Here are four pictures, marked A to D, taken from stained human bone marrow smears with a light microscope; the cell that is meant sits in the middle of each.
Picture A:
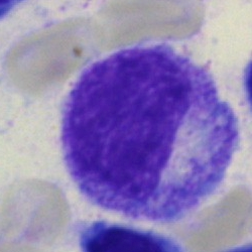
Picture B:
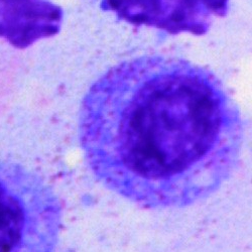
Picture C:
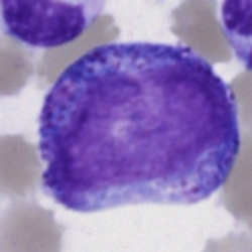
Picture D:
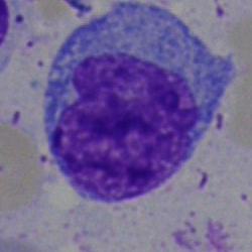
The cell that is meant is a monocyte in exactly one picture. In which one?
D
